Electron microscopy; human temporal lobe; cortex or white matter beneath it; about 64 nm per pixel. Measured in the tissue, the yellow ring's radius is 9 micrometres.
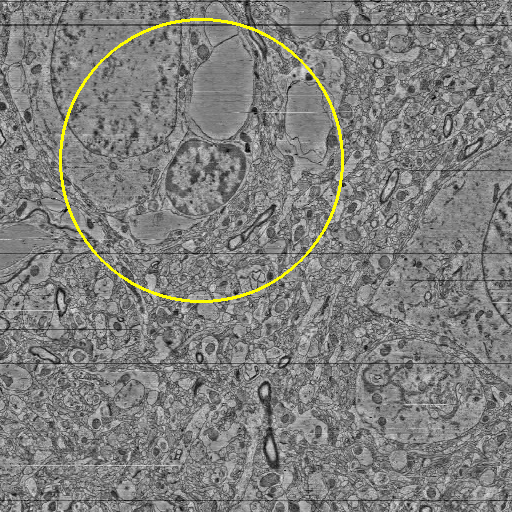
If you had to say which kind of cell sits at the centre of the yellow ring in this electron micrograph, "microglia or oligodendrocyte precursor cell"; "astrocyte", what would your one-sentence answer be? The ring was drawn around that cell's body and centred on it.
The cell sitting at the centre of the ring is a microglial cell or oligodendrocyte precursor cell.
